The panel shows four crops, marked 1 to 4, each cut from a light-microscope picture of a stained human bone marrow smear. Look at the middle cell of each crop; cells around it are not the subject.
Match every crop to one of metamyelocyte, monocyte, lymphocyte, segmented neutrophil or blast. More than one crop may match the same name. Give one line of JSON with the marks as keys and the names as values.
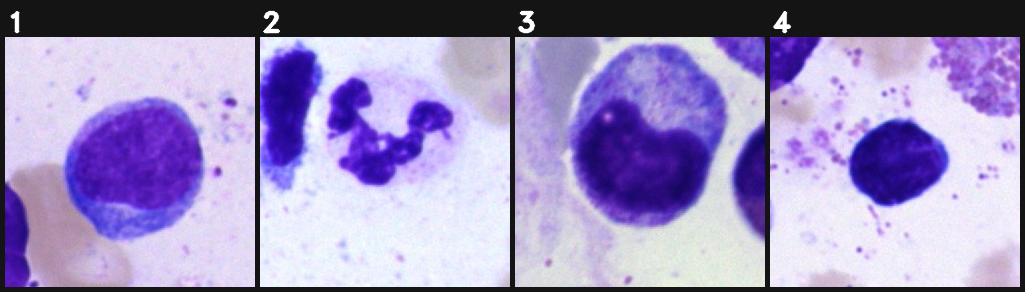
{"1": "blast", "2": "segmented neutrophil", "3": "metamyelocyte", "4": "lymphocyte"}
